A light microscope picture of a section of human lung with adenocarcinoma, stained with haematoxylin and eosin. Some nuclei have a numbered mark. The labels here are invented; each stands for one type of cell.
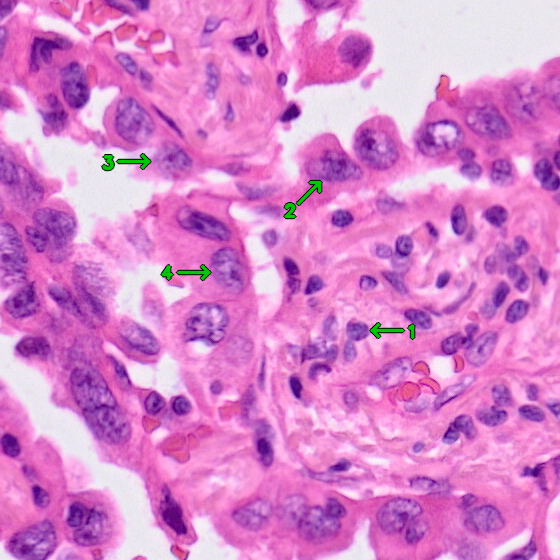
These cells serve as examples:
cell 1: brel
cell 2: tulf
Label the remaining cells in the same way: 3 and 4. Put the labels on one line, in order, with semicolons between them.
tulf; tulf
